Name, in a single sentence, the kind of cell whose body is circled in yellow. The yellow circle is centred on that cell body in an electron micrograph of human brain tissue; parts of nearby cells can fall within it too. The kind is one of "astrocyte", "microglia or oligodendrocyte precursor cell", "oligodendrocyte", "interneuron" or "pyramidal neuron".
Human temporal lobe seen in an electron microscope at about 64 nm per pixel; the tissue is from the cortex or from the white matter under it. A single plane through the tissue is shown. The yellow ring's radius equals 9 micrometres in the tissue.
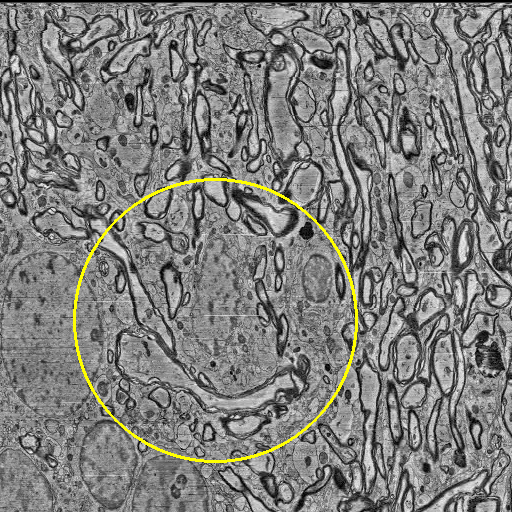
The circled cell body belongs to an astrocyte.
